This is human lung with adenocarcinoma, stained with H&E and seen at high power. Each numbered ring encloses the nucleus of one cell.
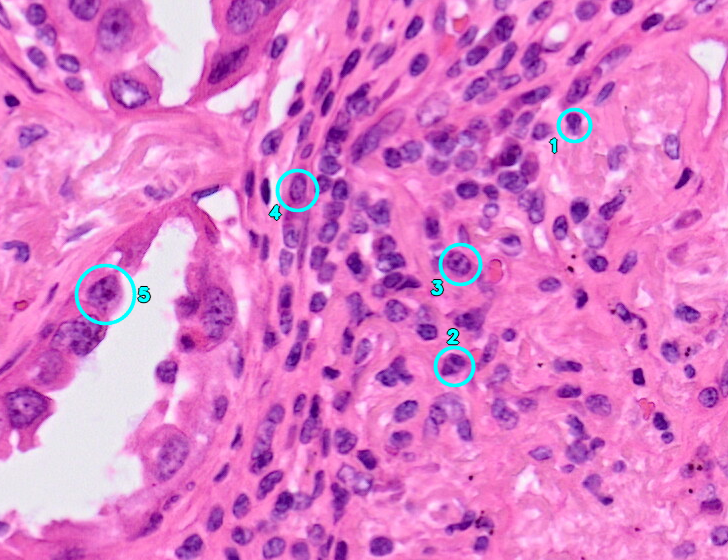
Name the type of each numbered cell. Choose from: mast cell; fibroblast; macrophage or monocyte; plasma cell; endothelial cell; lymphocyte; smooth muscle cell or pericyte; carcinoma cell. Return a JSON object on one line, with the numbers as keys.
{"1": "lymphocyte", "2": "plasma cell", "3": "plasma cell", "4": "plasma cell", "5": "carcinoma cell"}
